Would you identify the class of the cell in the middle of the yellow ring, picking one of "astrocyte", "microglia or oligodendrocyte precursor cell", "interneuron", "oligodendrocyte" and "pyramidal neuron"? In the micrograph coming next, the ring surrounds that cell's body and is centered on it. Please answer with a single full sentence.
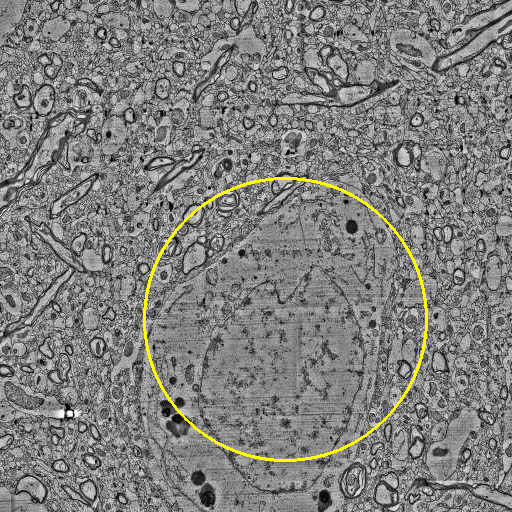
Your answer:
In the micrograph, it is a pyramidal neuron whose body lies at the ring's center.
